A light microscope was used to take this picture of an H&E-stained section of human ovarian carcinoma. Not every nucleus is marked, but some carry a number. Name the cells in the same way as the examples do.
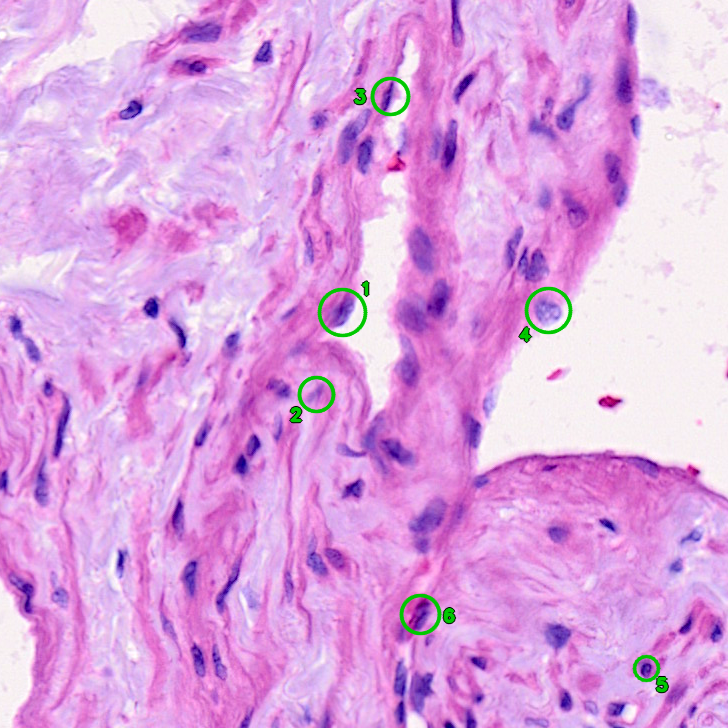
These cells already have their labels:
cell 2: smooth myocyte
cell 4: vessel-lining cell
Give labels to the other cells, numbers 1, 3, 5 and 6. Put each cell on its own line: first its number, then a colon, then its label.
1: vessel-lining cell
3: vessel-lining cell
5: smooth myocyte
6: vessel-lining cell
